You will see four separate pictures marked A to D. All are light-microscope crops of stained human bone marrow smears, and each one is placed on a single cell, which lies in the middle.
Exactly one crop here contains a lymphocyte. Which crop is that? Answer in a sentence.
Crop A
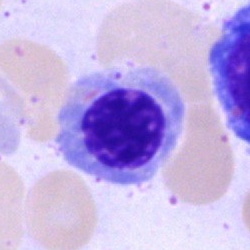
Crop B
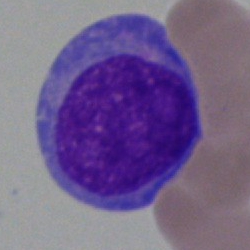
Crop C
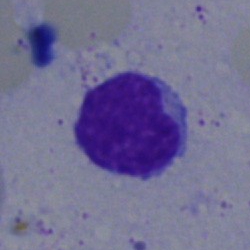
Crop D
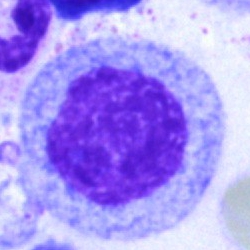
Of the crops given, a lymphocyte is found in crop C.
